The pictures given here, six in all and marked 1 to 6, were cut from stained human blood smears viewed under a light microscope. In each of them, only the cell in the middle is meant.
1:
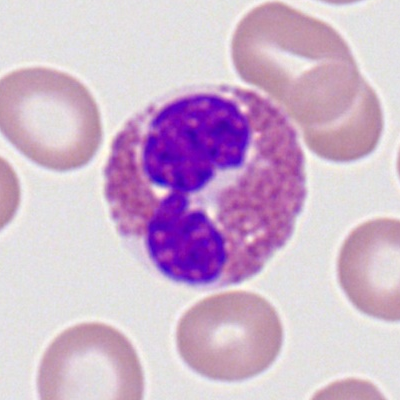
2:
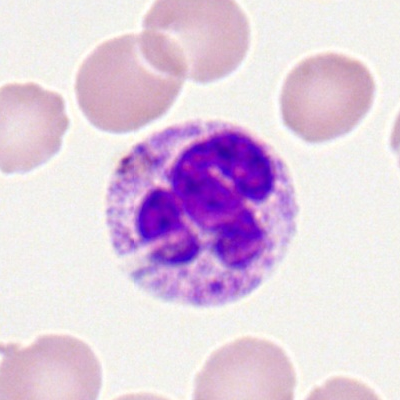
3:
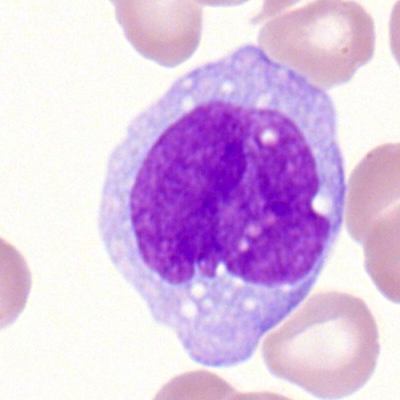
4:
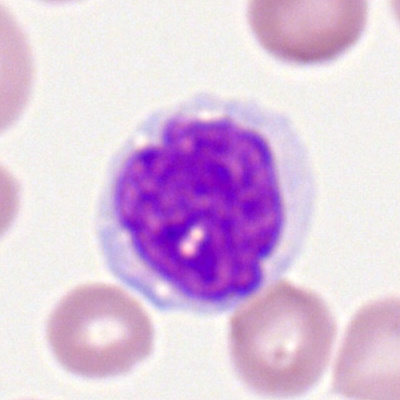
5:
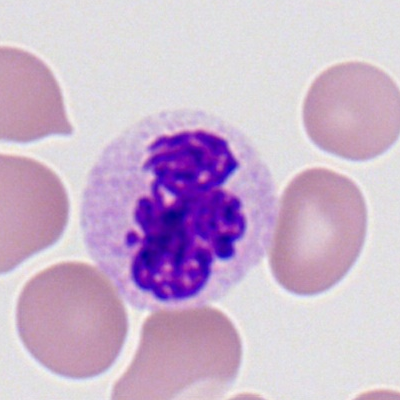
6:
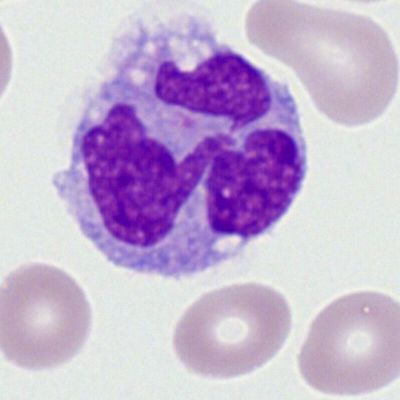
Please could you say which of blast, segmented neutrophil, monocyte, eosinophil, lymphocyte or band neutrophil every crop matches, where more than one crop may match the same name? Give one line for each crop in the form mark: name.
1: eosinophil
2: segmented neutrophil
3: monocyte
4: monocyte
5: segmented neutrophil
6: monocyte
